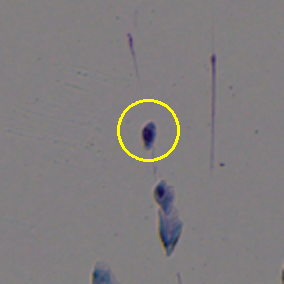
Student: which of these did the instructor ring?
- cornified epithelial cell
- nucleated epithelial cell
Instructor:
The cell I ringed is a nucleated epithelial cell.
